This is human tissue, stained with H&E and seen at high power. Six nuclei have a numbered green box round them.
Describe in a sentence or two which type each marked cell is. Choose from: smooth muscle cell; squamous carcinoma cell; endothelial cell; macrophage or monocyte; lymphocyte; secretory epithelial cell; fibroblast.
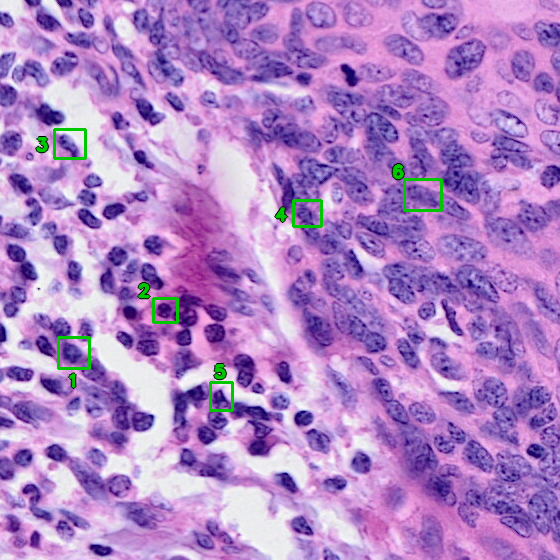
Cells 1, 2, 3 and 5 are lymphocytes. Cells 4 and 6 are squamous carcinoma cells.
